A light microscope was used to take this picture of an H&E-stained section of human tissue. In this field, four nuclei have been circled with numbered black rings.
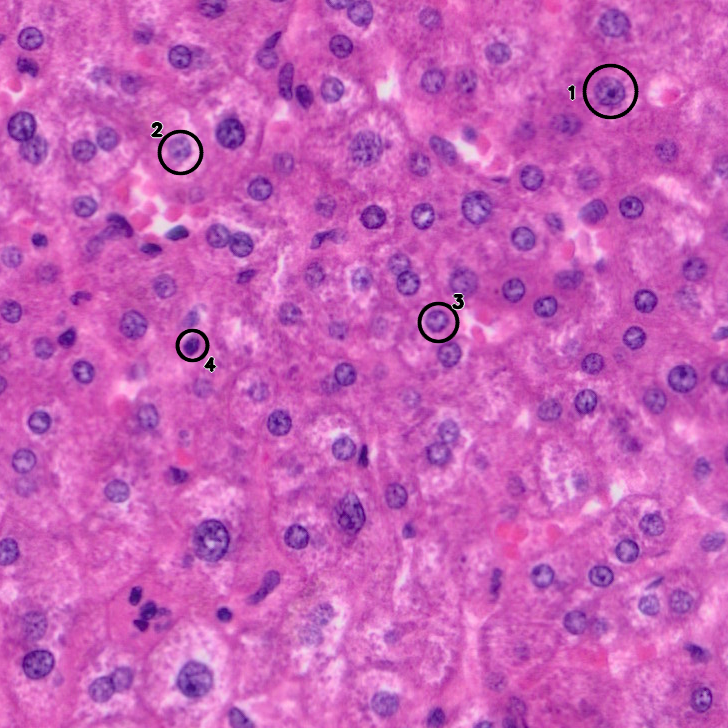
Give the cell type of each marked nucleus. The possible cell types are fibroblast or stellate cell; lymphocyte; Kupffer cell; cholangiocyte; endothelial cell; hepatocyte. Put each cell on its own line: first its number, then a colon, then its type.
1: hepatocyte
2: hepatocyte
3: hepatocyte
4: lymphocyte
